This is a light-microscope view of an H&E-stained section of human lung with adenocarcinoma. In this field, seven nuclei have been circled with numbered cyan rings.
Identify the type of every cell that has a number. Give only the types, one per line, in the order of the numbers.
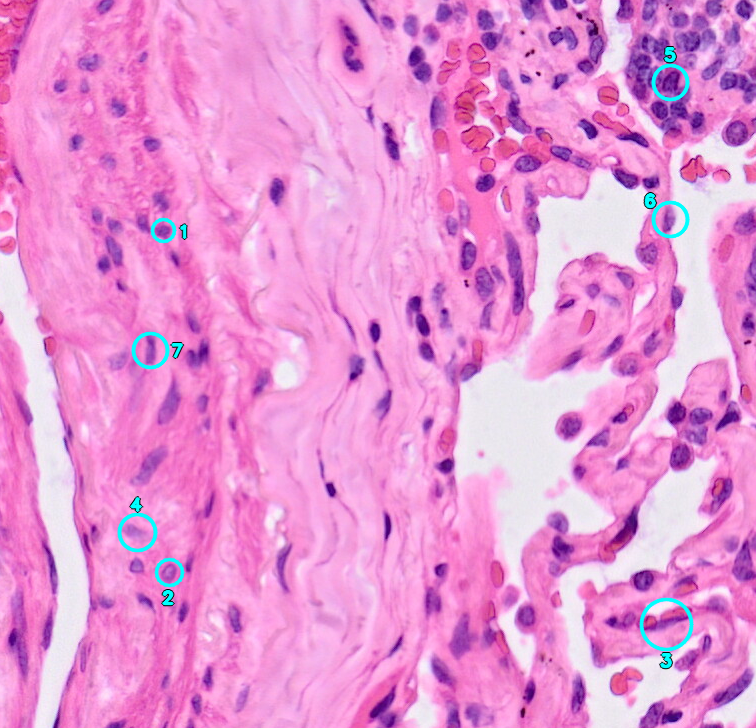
smooth muscle cell or pericyte
smooth muscle cell or pericyte
endothelial cell
smooth muscle cell or pericyte
plasma cell
type I pneumocyte
smooth muscle cell or pericyte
